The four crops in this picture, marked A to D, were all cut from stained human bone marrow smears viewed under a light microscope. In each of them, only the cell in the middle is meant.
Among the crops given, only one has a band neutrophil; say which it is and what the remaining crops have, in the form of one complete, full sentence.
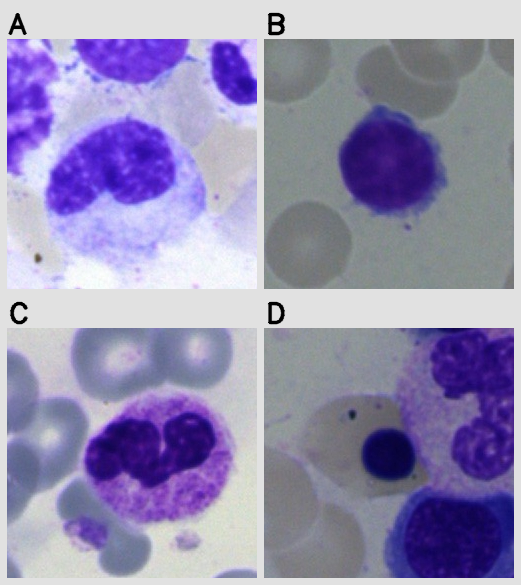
Found in crop A is a band neutrophil, whereas crop B is a lymphocyte, crop C is a segmented neutrophil and crop D is a normoblast.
